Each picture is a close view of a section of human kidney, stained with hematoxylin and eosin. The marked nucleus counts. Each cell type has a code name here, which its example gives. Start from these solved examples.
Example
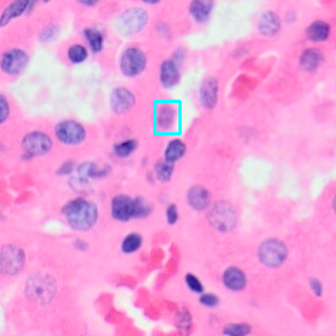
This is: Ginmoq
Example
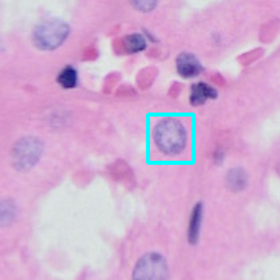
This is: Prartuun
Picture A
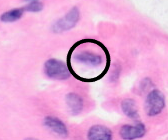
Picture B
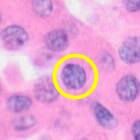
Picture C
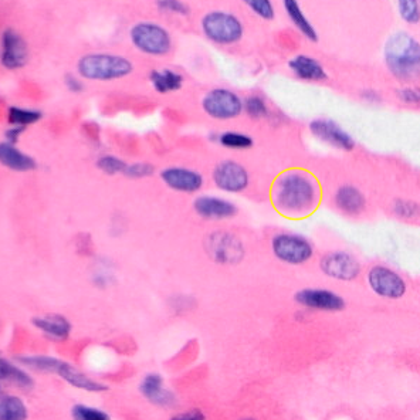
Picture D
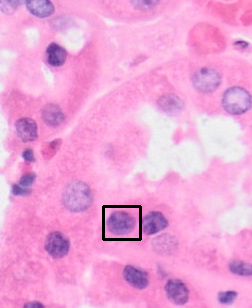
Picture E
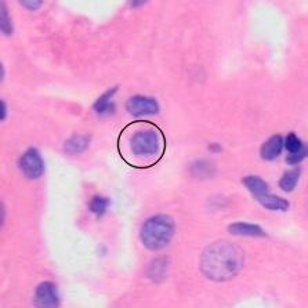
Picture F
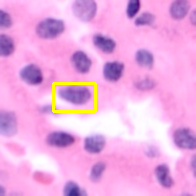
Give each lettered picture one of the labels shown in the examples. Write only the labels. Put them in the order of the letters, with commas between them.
Ginmoq, Ginmoq, Ginmoq, Prartuun, Ginmoq, Ginmoq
